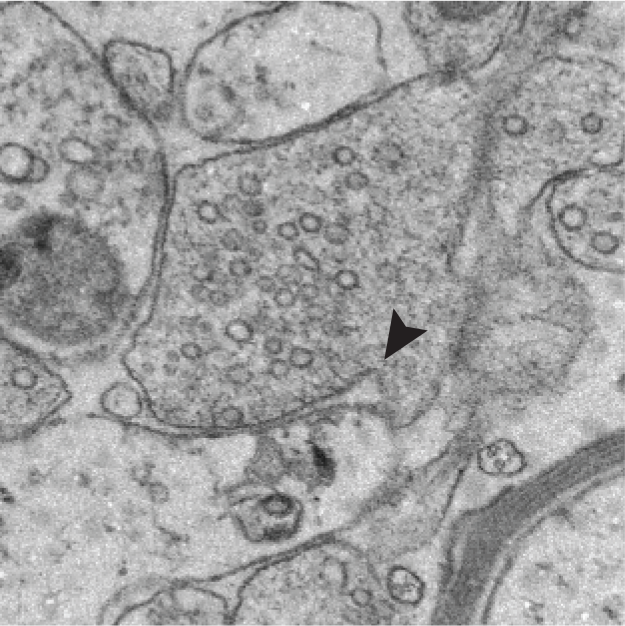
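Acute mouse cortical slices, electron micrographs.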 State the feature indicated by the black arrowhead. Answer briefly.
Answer: uncoated endocytic pits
